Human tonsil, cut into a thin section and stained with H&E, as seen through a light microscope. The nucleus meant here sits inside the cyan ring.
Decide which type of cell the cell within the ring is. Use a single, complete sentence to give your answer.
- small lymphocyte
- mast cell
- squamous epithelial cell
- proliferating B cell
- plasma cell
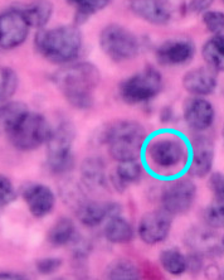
Histopathologically, the cell within the ring is a proliferating B cell.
